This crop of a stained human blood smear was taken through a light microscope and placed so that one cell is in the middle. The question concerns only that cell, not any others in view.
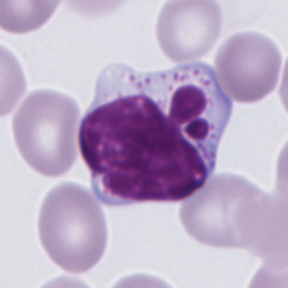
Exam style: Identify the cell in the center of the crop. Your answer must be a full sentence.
Among the cells in view, the one in the middle is a large granular lymphocyte.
